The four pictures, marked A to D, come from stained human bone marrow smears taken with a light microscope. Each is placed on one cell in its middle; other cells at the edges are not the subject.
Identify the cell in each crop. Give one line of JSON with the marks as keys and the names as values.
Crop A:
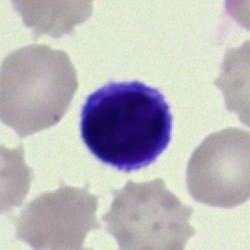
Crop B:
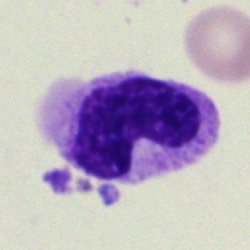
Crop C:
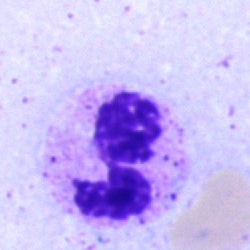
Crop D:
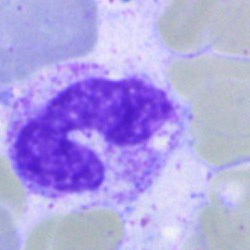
{"A": "lymphocyte", "B": "band neutrophil", "C": "segmented neutrophil", "D": "band neutrophil"}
